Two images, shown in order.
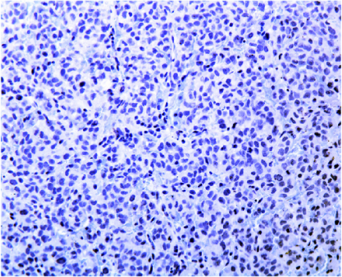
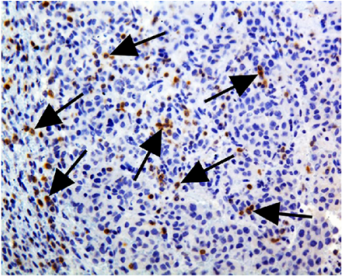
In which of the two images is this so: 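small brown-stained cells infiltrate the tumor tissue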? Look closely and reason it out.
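The second image. Second image: many small brown-stained cells are scattered through the tissue. First image: the tissue is blue throughout with almost no brown-stained cells.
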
